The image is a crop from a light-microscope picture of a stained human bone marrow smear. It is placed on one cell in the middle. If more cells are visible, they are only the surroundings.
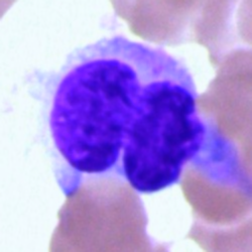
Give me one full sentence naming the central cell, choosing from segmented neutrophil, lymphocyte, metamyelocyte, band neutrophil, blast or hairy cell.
Framed in the middle of the crop is a hairy cell.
